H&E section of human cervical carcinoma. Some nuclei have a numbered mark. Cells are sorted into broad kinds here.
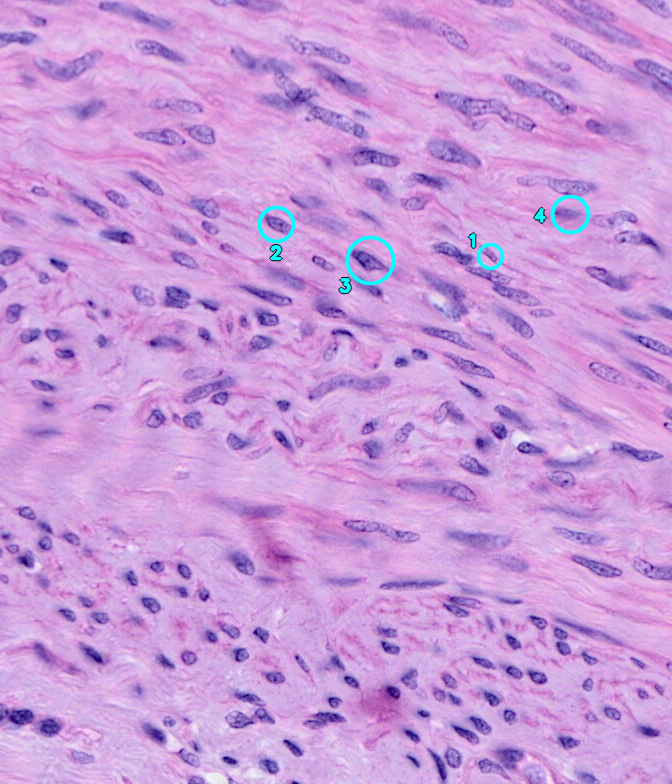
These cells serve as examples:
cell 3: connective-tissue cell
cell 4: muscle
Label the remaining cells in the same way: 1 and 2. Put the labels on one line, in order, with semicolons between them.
muscle; muscle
